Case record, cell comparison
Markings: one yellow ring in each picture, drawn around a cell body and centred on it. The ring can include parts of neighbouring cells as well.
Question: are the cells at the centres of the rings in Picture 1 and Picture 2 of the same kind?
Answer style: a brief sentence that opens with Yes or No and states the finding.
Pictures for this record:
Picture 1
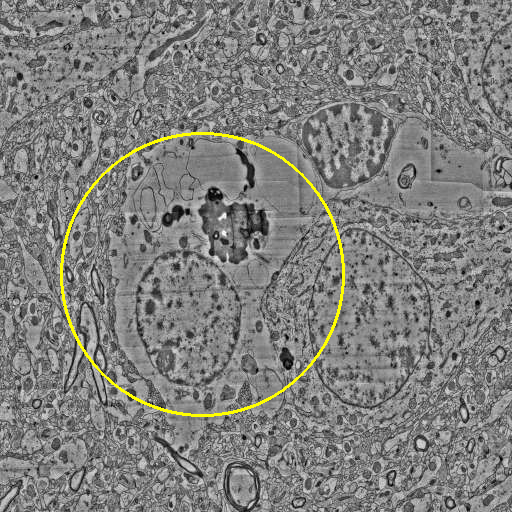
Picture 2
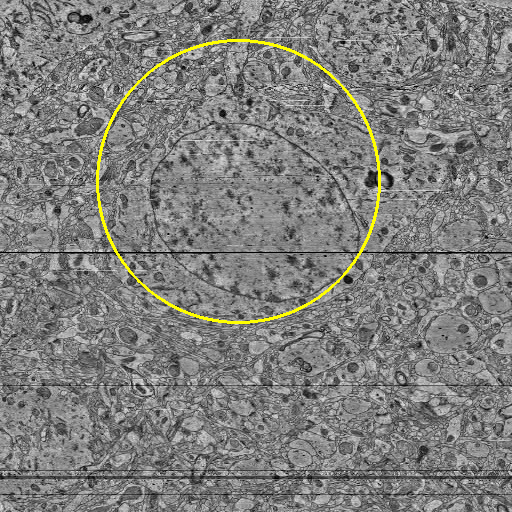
No, the cells in Picture 1 and Picture 2 are of two kinds.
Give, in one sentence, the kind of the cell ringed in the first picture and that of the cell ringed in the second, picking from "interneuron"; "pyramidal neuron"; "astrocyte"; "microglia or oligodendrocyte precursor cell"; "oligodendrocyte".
For the first picture it is an astrocyte; for the second, a pyramidal neuron.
